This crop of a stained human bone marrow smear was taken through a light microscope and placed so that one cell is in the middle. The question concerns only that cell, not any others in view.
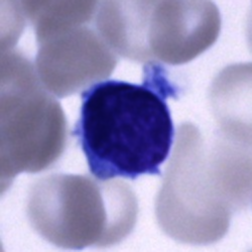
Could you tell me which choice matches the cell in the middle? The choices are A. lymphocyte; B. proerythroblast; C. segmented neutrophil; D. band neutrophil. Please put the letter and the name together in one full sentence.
Option A is right in identifying the central cell as a lymphocyte.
